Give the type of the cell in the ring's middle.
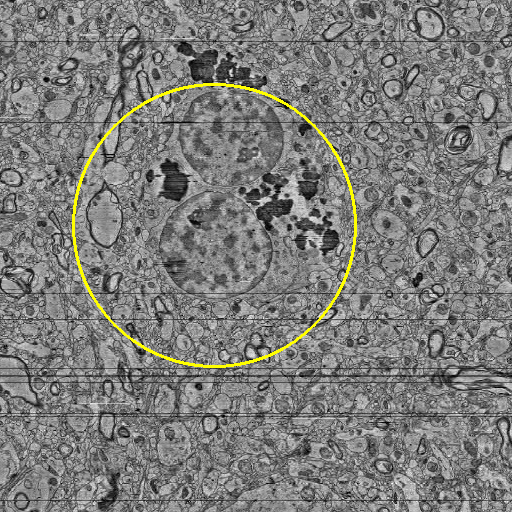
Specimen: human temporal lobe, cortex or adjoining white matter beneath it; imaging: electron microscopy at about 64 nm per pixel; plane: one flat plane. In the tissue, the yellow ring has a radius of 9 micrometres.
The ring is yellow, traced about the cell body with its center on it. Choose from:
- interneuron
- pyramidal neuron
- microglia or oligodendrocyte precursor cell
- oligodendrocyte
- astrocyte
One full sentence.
Here, an oligodendrocyte is the cell lying at the center of the yellow ring.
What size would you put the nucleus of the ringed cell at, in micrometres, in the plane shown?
Approximately 7 micrometres across in this plane.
